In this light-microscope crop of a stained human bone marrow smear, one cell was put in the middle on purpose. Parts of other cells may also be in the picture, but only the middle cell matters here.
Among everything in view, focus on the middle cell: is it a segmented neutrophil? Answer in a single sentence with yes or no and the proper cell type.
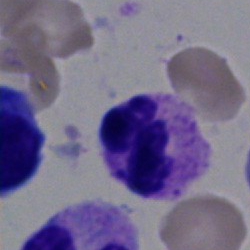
Yes, the cell at the centre of this crop is identified as a segmented neutrophil.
